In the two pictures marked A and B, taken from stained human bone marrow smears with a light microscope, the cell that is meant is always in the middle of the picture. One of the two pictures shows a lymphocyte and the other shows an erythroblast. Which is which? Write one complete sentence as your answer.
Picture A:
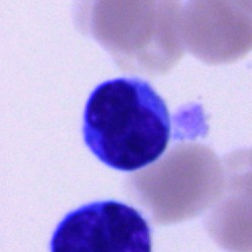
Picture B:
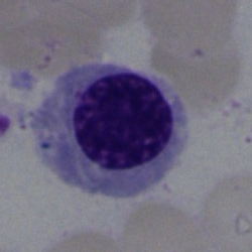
The cell in picture A is a lymphocyte, and the one in picture B is an erythroblast.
